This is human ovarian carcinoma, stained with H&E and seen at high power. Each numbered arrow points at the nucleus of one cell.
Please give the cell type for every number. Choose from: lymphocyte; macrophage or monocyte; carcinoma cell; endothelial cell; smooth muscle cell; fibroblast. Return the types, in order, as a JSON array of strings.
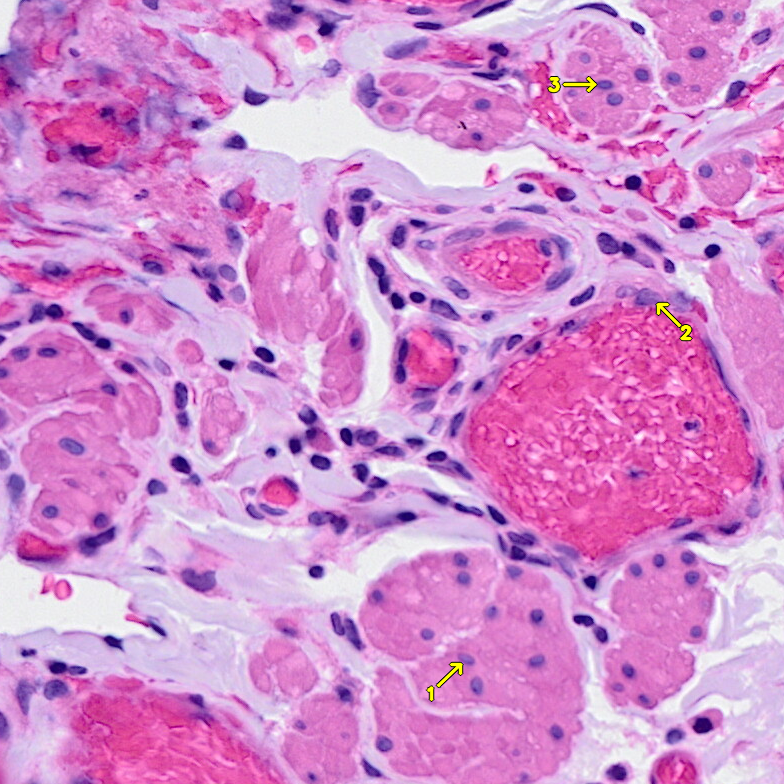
["smooth muscle cell", "endothelial cell", "smooth muscle cell"]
